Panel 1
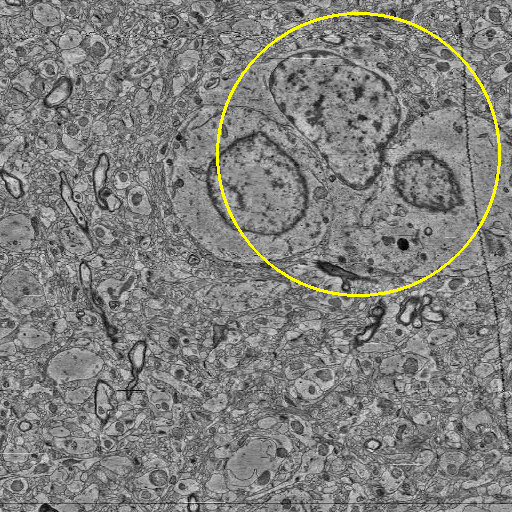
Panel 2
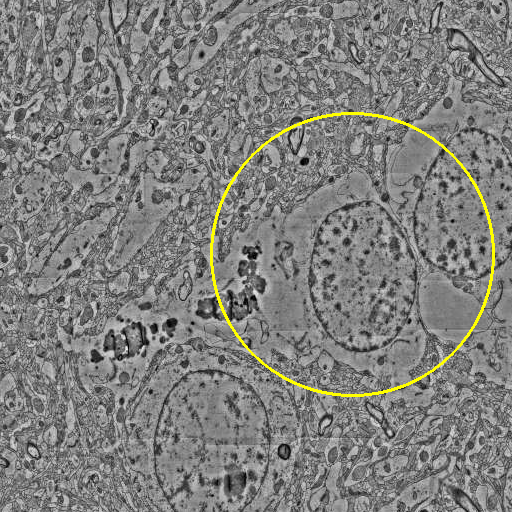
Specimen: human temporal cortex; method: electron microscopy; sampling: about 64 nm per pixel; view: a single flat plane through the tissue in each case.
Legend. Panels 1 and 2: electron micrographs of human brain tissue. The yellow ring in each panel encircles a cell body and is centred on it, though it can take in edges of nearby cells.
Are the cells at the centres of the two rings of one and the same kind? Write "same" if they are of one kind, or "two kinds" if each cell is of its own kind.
two kinds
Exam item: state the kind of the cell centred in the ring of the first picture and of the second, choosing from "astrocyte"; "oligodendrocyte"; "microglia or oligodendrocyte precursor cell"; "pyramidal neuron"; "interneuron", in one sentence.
The first picture shows a microglial cell or oligodendrocyte precursor cell at the ring centre and the second shows an astrocyte.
